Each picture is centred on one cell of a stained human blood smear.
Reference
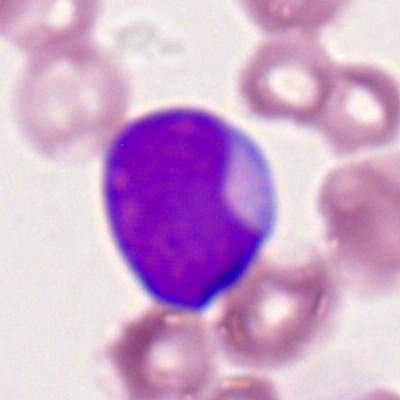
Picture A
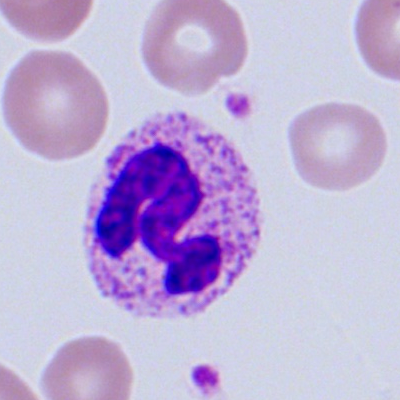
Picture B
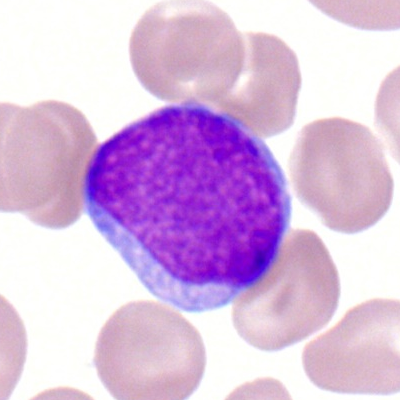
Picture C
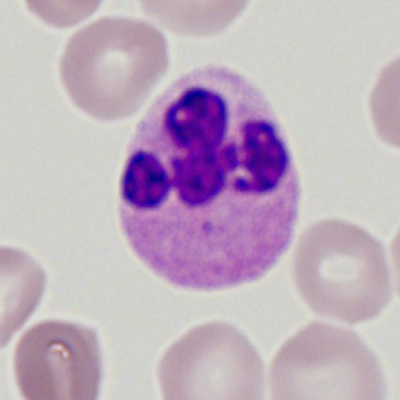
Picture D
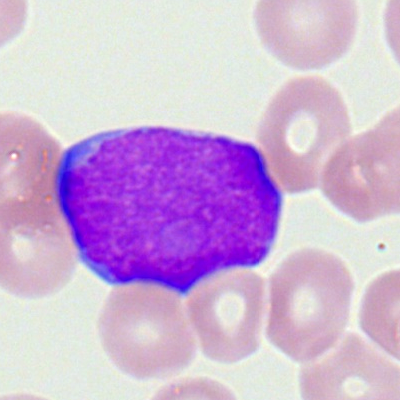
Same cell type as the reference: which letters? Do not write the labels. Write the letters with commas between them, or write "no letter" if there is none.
B, D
